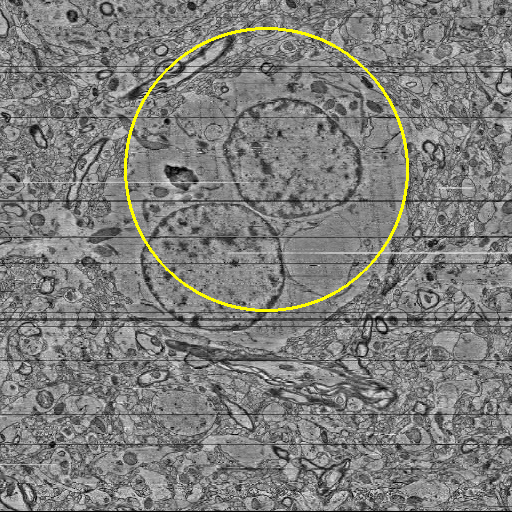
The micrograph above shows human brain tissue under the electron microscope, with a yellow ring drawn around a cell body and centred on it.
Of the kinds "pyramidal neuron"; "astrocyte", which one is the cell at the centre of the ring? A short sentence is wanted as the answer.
The one at the centre of the ring is an astrocyte.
